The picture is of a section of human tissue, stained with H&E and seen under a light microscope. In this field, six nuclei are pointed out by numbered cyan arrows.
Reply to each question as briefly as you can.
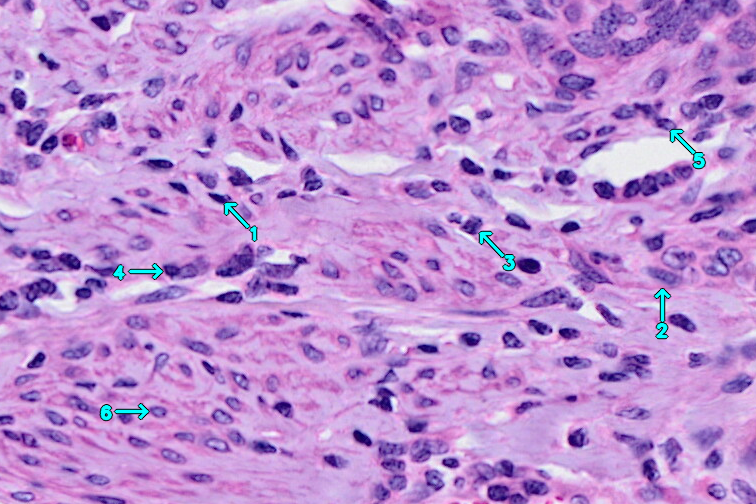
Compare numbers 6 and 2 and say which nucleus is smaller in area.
6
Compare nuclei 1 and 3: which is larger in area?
3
